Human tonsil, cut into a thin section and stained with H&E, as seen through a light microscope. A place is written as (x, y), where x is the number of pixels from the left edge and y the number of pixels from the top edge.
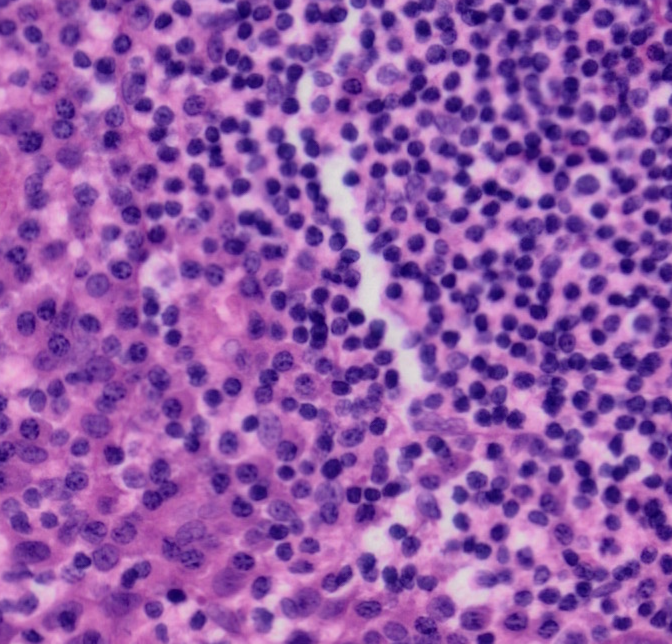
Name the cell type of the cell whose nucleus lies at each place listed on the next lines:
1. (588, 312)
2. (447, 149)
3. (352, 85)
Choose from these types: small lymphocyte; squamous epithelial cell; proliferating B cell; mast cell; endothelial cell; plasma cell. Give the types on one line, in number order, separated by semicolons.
small lymphocyte; small lymphocyte; plasma cell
